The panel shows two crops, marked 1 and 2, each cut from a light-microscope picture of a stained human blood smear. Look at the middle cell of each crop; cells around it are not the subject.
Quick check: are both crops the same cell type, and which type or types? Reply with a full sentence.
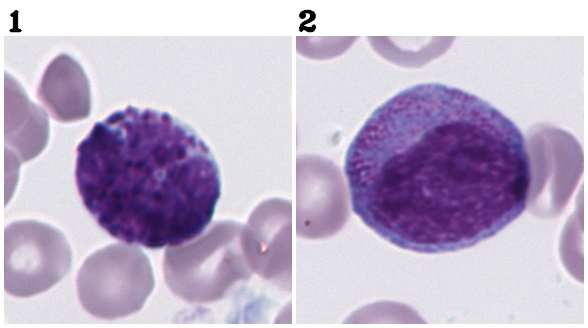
No; crop 1 is a basophil, while crop 2 is a promyelocyte.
